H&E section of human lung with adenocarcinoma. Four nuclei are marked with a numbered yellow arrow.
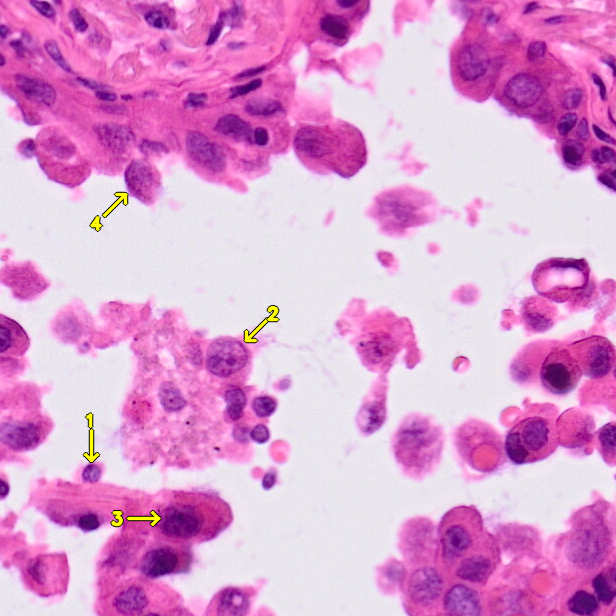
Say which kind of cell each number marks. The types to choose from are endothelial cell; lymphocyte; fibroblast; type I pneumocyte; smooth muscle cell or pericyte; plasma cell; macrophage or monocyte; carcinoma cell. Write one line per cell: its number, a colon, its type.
1: lymphocyte
2: carcinoma cell
3: carcinoma cell
4: carcinoma cell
